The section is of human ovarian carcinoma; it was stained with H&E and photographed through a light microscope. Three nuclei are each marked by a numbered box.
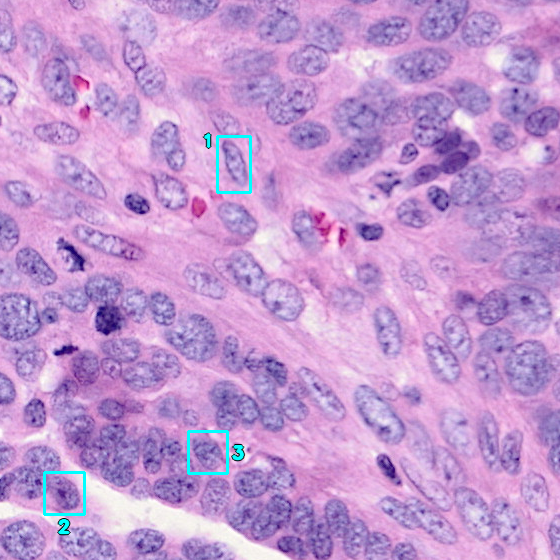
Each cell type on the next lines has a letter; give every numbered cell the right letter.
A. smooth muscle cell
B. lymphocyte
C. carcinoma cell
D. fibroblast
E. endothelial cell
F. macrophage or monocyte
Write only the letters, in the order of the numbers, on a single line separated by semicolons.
D; C; C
